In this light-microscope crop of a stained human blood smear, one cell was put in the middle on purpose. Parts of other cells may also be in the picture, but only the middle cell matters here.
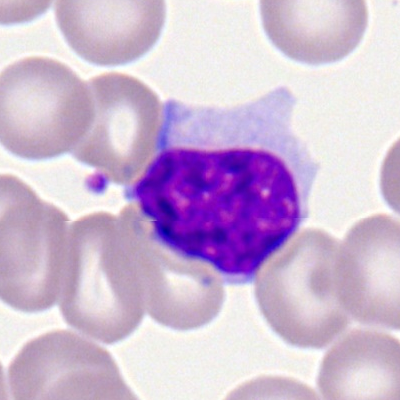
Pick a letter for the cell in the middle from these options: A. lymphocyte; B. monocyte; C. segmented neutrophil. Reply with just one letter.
A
